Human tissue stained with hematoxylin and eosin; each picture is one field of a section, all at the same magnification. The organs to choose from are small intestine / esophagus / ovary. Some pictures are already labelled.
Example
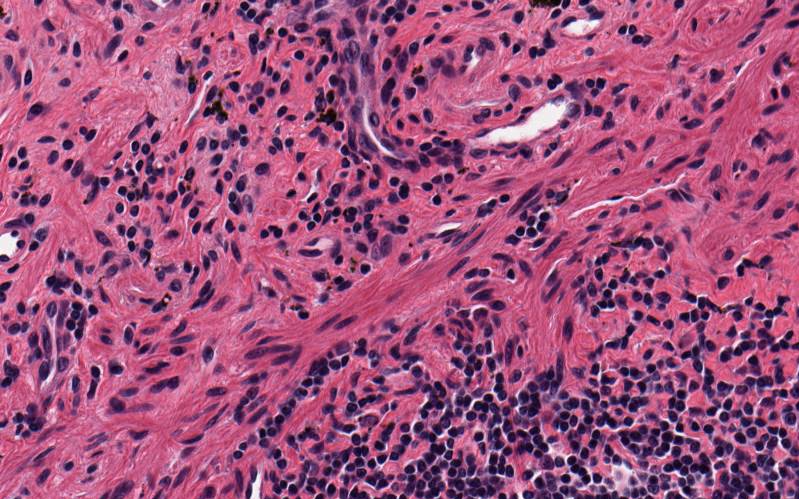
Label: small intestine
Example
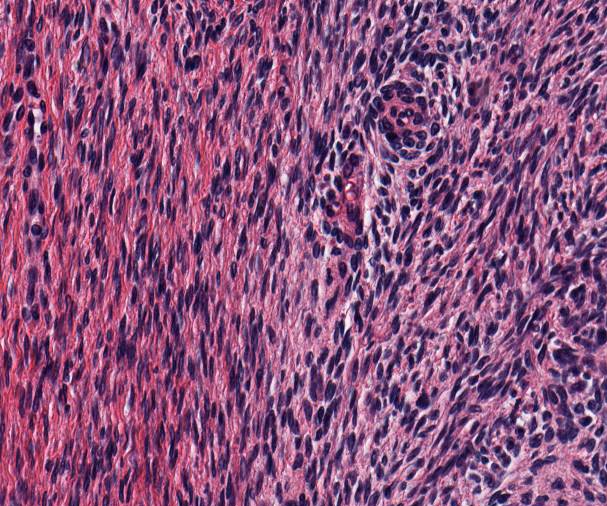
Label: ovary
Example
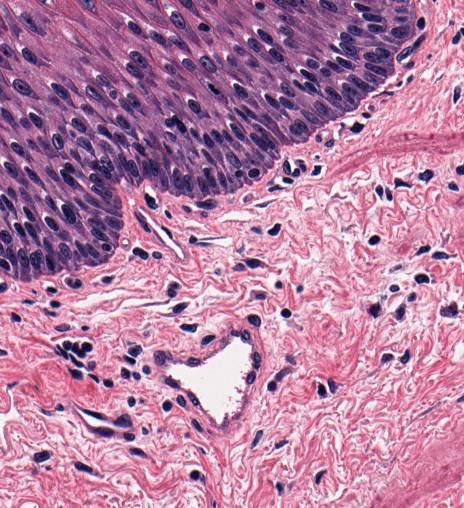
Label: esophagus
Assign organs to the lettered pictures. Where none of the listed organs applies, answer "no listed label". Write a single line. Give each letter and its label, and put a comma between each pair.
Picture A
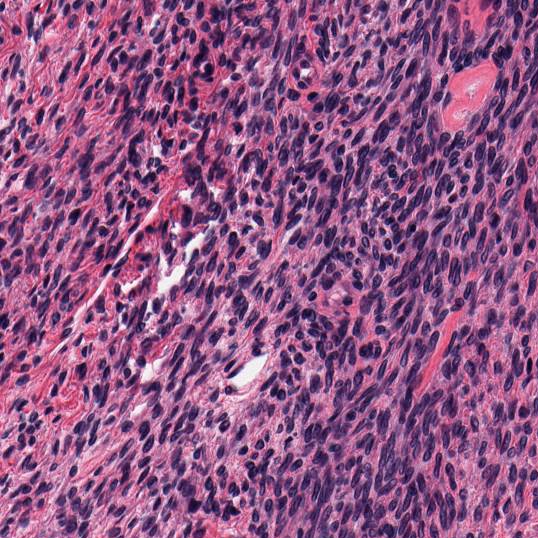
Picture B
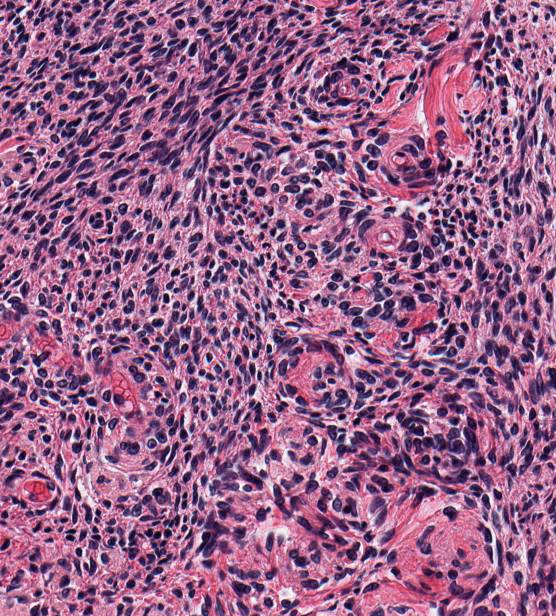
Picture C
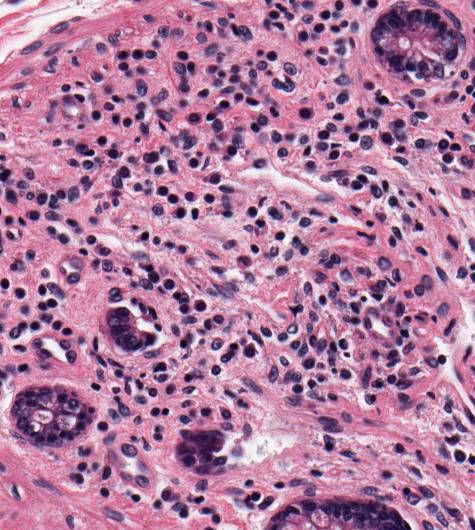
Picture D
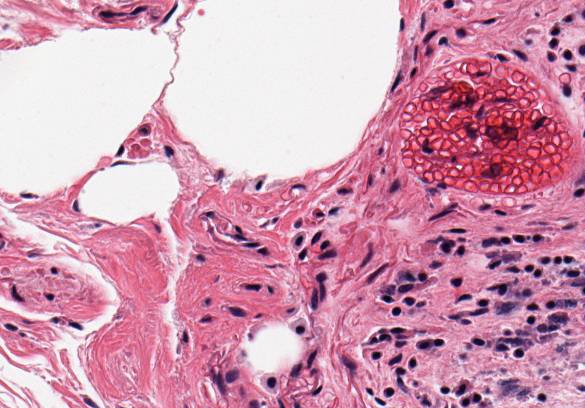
A ovary, B ovary, C small intestine, D small intestine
